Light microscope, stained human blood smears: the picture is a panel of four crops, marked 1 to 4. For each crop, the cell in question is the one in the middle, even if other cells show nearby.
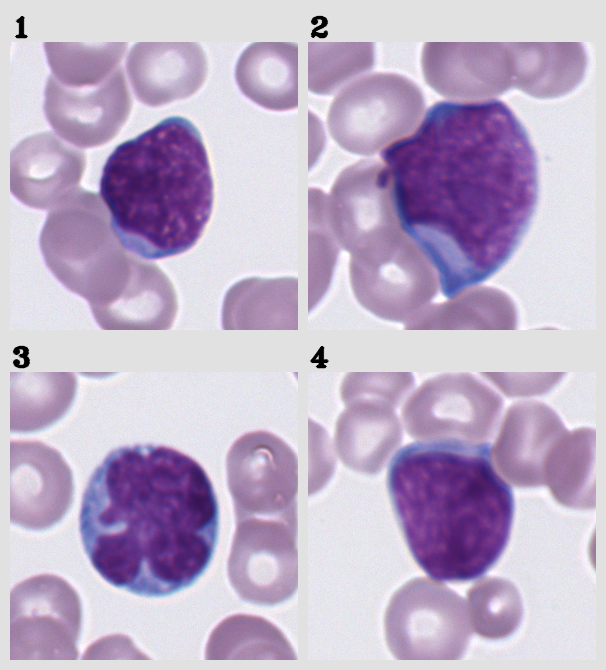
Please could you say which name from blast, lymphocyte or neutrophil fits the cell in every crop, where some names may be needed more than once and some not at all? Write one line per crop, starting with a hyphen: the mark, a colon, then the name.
- 1: blast
- 2: blast
- 3: blast
- 4: lymphocyte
